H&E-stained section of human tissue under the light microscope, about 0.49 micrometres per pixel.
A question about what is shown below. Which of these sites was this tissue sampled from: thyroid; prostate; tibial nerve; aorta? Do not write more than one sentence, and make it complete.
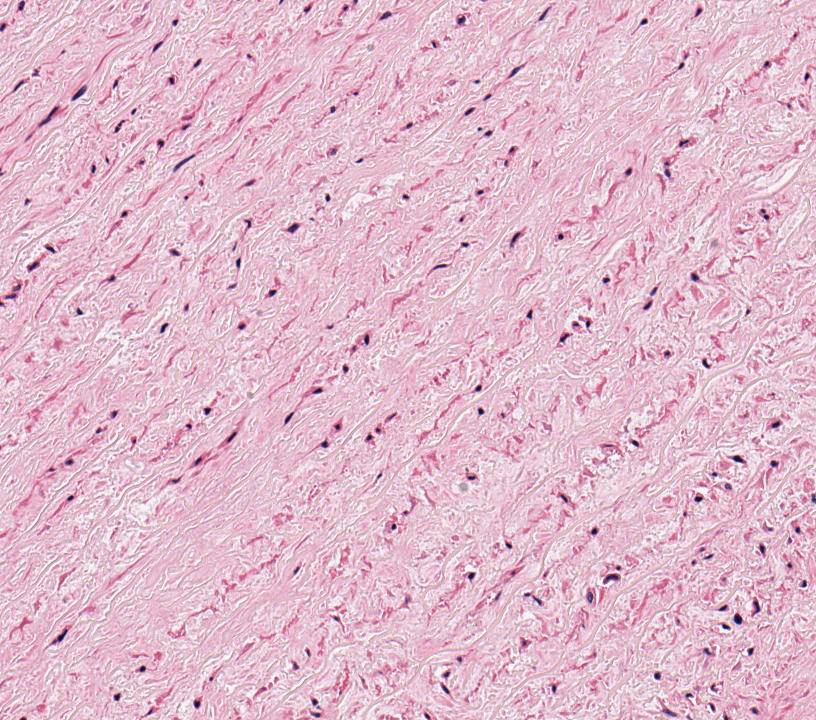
This histological section comes from the aorta.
